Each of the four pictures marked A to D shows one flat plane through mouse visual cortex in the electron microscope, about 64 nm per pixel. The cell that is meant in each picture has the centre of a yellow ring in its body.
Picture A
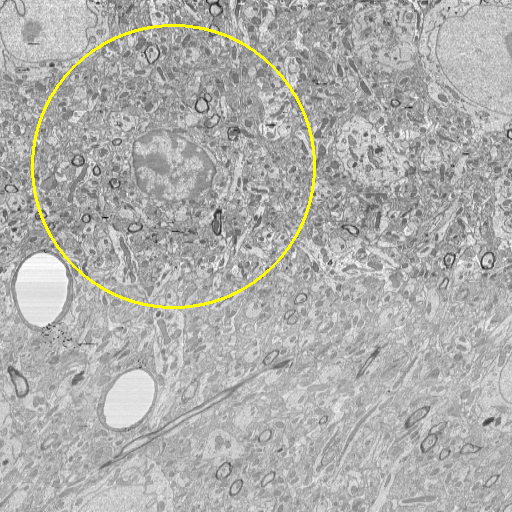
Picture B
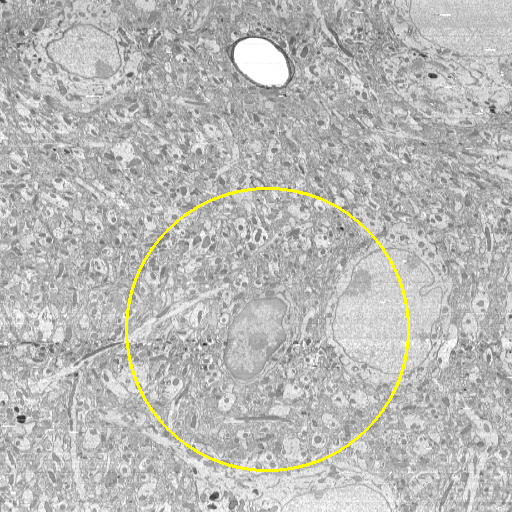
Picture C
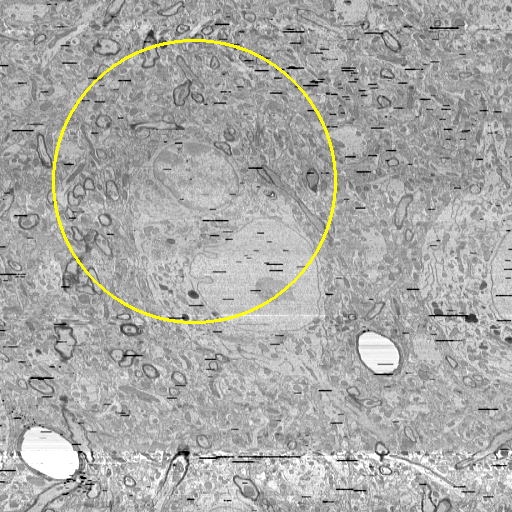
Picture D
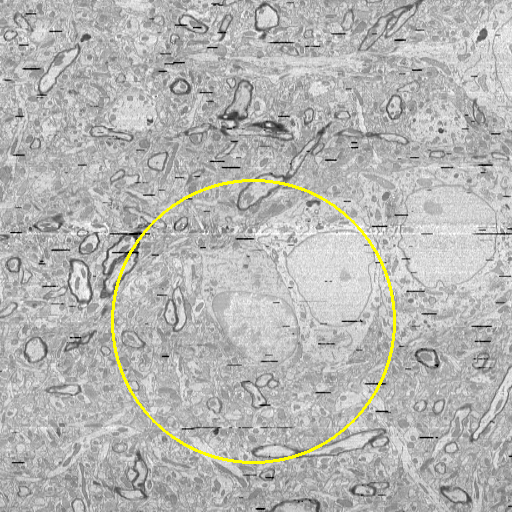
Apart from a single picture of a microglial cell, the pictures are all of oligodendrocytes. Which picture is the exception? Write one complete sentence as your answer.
Picture B is the one that shows the microglial cell.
